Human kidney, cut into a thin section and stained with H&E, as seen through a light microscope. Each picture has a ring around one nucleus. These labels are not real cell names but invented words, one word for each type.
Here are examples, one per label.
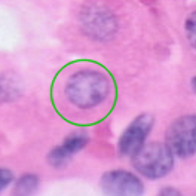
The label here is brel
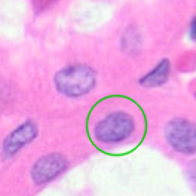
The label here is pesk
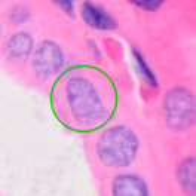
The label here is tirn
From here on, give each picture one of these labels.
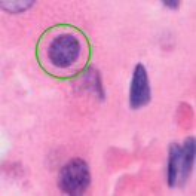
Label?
brel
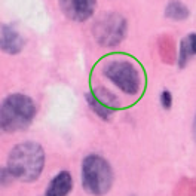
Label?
tirn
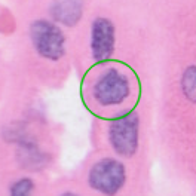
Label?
tirn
